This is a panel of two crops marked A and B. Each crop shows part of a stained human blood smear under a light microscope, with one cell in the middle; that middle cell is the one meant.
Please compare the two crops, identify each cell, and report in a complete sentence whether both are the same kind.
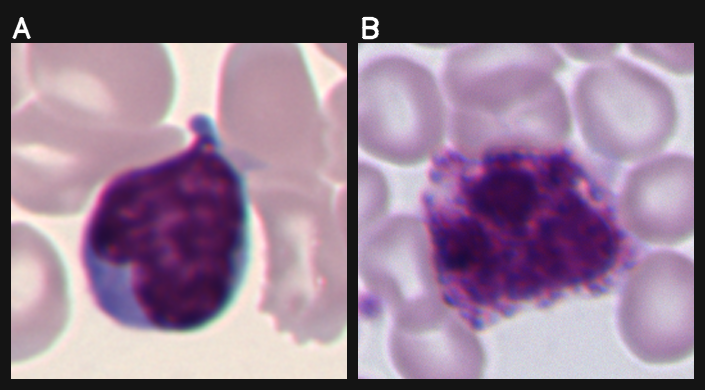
No, the labels go like this: crop A is a typical lymphocyte and crop B is a basophil.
